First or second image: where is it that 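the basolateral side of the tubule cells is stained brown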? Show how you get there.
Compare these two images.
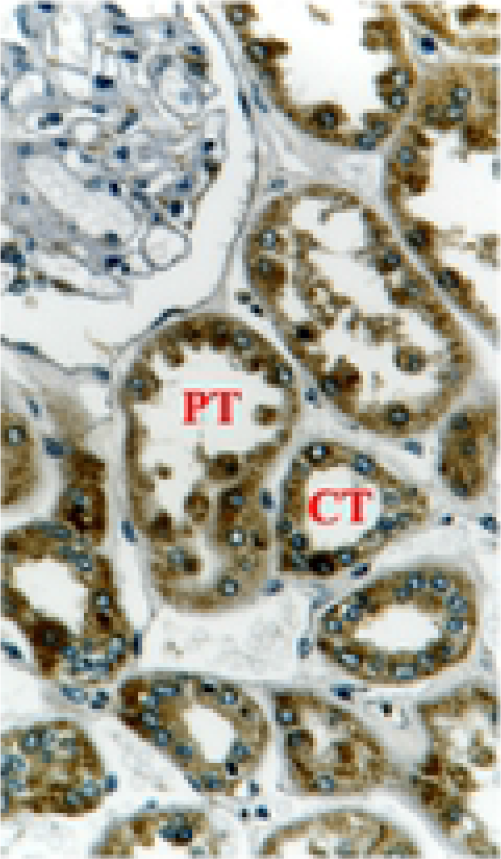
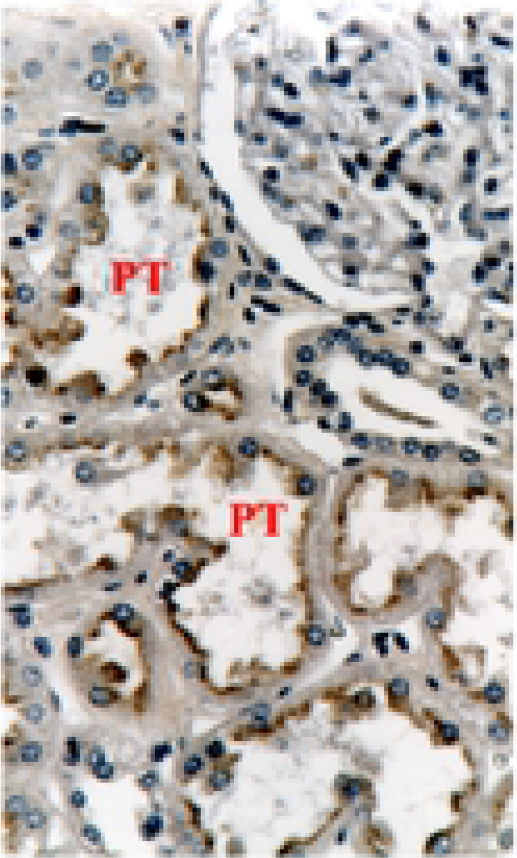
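Second image: brown stain is concentrated at the luminal edge of the tubule cells, the basal side pale. First image: tubule cells are brown throughout, up to their basal edge.
The first image.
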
